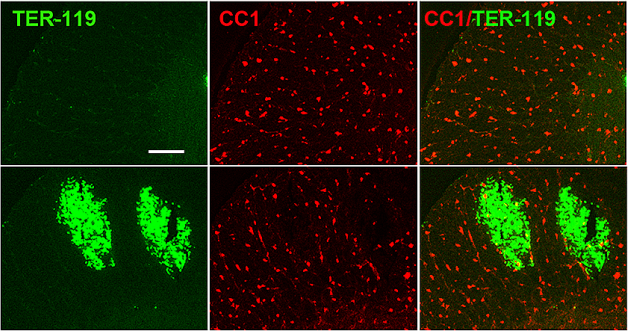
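In the upper row the green channel is nearly empty, and the red cells are spread fairly evenly across the field. In the lower row two large, dense green patches of packed red blood cells lie in the tissue, a sign of bleeding out of the vessels. In the merged image of the lower row, few red cell bodies are seen inside these green patches.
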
